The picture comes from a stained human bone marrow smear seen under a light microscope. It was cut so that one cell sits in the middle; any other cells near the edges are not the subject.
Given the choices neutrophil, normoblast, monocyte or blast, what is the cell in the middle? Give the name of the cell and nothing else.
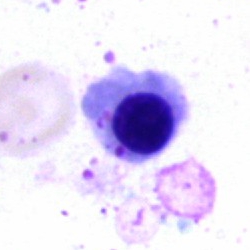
normoblast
